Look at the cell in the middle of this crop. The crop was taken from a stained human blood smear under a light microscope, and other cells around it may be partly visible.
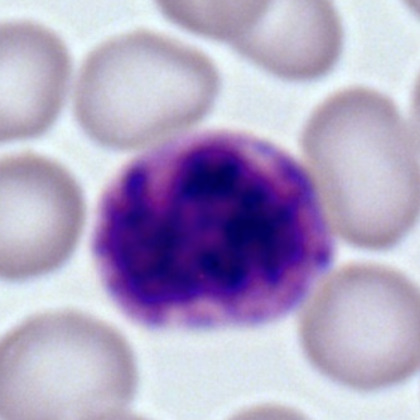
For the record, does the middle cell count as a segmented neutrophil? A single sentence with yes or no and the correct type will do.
No, the middle cell is classified as a basophil and not as a segmented neutrophil.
